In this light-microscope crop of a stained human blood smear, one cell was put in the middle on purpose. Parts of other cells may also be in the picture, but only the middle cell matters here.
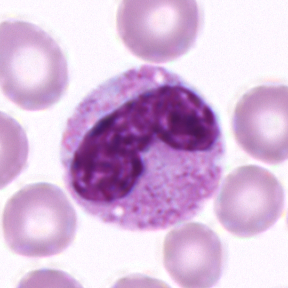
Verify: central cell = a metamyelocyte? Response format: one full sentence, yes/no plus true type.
No, it isn't a metamyelocyte; what sits in the middle is a band neutrophil.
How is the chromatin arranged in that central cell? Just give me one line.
Heads up, the chromatin in this one is coarsely clumped.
